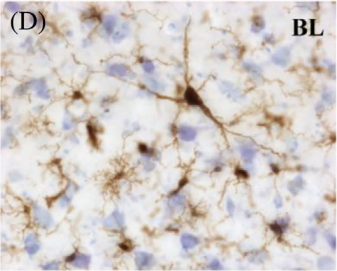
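Scattered brown cells in this brain tissue have small, dark bodies from which thin, branching processes spread out over a short distance, giving a ramified, spidery look. Pale blue nuclei of unstained cells lie throughout the background between them. These branched brown cells are microglia, spaced apart from one another in the tissue.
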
